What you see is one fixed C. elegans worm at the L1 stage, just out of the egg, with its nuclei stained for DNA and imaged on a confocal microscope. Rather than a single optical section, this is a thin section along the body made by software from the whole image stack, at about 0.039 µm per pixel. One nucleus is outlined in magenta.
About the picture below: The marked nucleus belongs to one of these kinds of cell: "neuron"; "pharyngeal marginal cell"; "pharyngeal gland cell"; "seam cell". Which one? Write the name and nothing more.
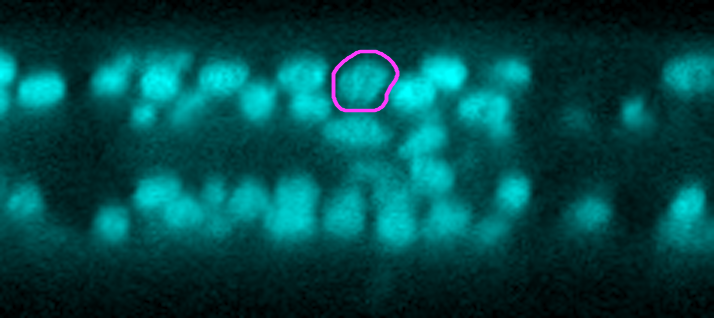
neuron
